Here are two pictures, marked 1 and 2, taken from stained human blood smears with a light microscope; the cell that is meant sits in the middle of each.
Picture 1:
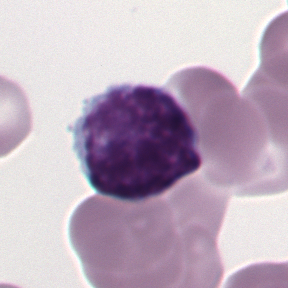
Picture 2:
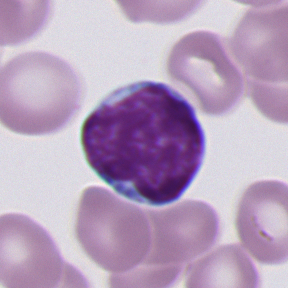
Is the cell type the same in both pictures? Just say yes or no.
yes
